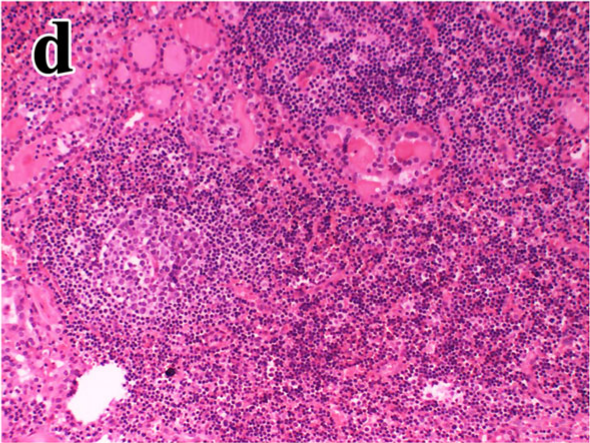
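Remnant thyroid tissue is heavily infiltrated by sheets of small round lymphocytes with dark nuclei. A few small thyroid follicles containing pink colloid survive among them, and at lower left the lymphocytes form a rounded follicle with a paler centre.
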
